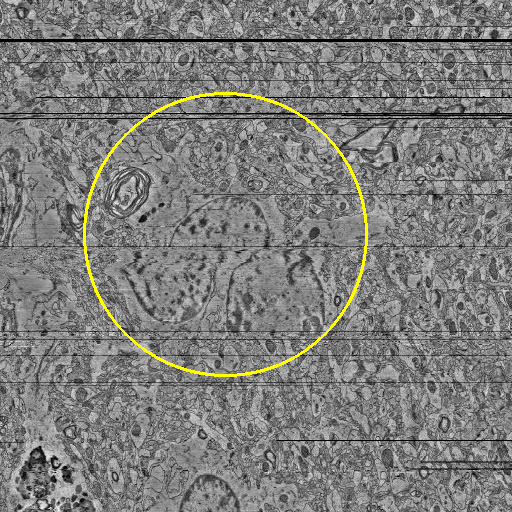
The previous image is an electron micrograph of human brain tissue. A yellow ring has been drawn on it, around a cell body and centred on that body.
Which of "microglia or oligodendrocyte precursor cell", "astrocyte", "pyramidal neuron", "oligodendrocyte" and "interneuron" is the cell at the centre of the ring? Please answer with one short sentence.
The cell body at the centre of the ring belongs to an astrocyte.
